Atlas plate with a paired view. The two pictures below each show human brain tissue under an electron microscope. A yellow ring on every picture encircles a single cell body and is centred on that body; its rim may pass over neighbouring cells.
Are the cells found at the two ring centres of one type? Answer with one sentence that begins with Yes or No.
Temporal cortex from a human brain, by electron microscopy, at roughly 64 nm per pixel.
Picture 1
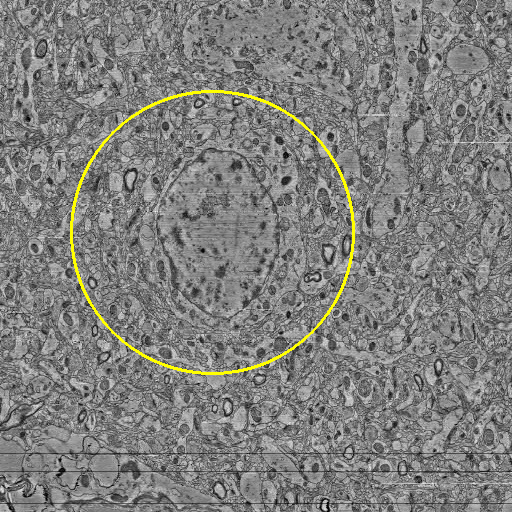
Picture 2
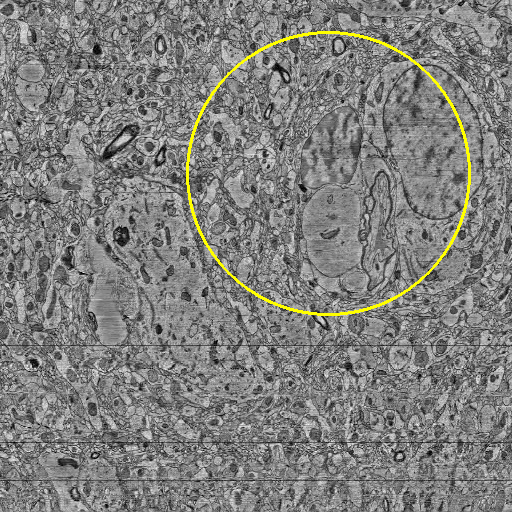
No, the two cells lying at the centres of the rings are of two types.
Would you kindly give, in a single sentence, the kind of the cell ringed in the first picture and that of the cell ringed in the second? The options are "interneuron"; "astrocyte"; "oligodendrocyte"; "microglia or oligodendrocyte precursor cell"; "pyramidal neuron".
The second cell is a microglial cell or oligodendrocyte precursor cell, and the first cell is an interneuron.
